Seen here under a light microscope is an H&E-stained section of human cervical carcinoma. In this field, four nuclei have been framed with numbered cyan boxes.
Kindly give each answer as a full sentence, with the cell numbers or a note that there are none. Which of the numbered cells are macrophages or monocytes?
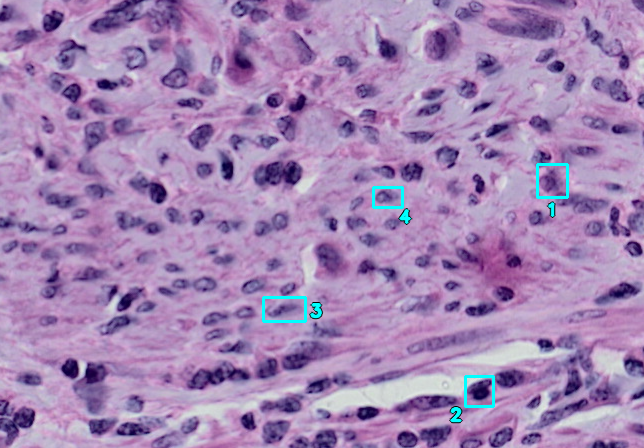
Cell 1 is a macrophage or monocyte; no further numbered cell is.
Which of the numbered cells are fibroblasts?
The sole numbered cell that is a fibroblast is cell 3.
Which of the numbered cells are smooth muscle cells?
Only the cell with the number 4 is a smooth muscle cell.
